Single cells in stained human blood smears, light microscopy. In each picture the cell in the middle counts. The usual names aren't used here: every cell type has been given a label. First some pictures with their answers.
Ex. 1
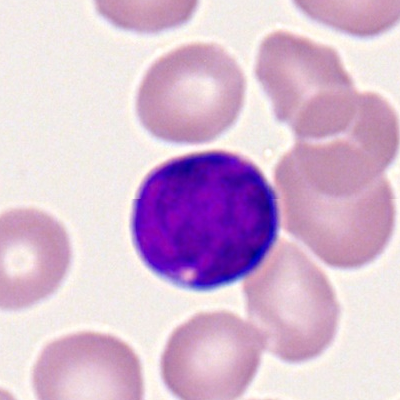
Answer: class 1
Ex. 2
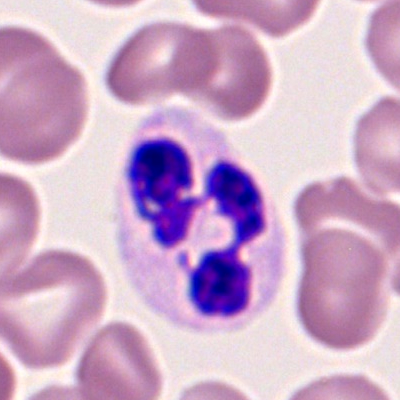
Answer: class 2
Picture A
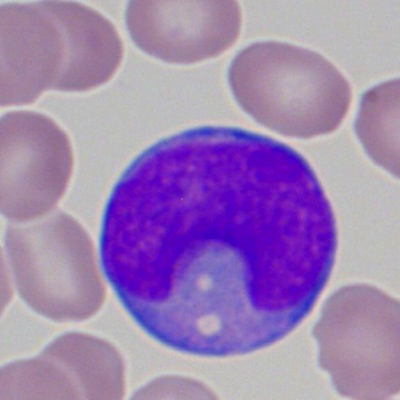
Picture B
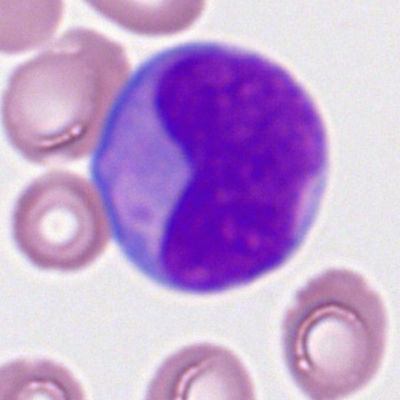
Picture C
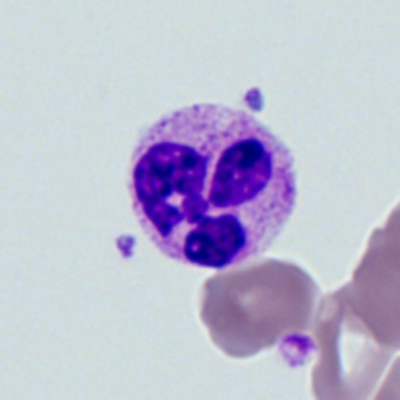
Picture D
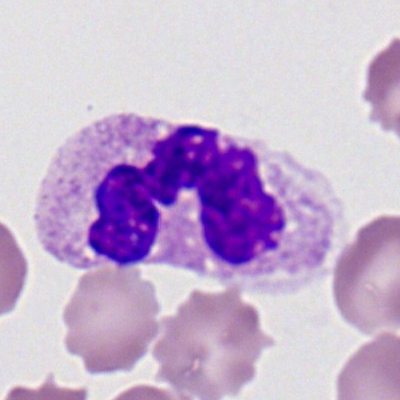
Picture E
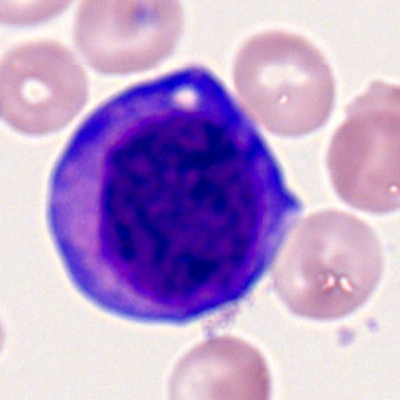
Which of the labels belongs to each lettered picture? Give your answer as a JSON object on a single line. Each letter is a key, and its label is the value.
{"A": "class 1", "B": "class 1", "C": "class 2", "D": "class 2", "E": "class 1"}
